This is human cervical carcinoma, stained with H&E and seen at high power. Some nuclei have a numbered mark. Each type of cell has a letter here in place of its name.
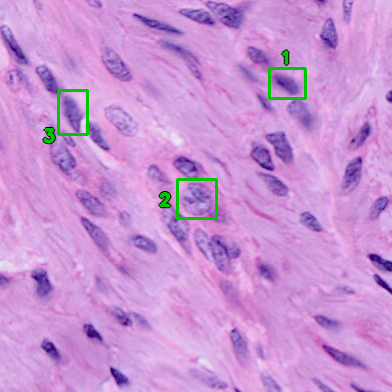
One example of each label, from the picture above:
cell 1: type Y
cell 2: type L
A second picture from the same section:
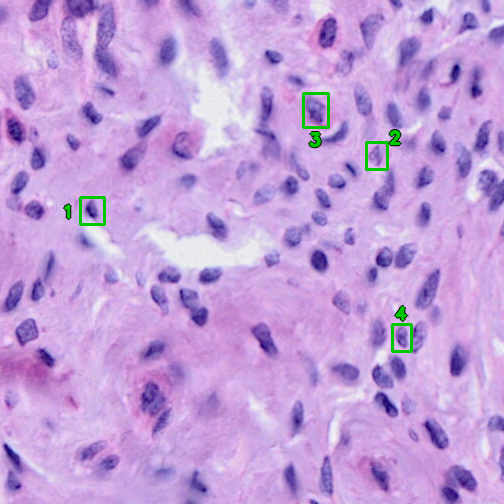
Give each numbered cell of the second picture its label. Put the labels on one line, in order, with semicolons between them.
type Y; type Y; type L; type Y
